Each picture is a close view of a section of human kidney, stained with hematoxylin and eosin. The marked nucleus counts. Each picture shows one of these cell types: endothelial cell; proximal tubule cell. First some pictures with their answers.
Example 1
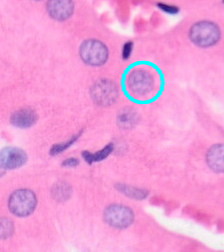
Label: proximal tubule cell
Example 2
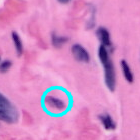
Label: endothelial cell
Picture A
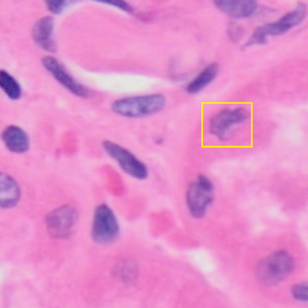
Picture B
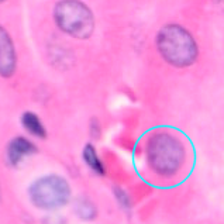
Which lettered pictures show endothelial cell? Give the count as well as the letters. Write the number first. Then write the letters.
0, none of them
